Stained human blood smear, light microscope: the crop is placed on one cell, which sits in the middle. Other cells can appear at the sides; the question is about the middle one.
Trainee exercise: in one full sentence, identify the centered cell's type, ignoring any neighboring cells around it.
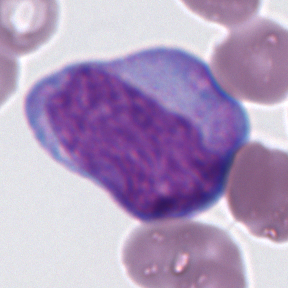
As for the central cell, it is an atypical promyelocyte.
